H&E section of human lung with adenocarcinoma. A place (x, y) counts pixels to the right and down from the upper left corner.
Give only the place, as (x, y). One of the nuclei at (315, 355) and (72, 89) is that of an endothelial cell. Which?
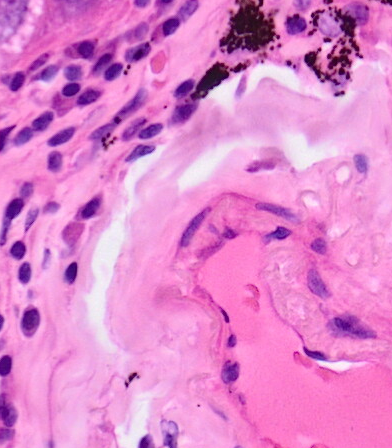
(315, 355)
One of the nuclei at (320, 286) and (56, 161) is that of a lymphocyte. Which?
(56, 161)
